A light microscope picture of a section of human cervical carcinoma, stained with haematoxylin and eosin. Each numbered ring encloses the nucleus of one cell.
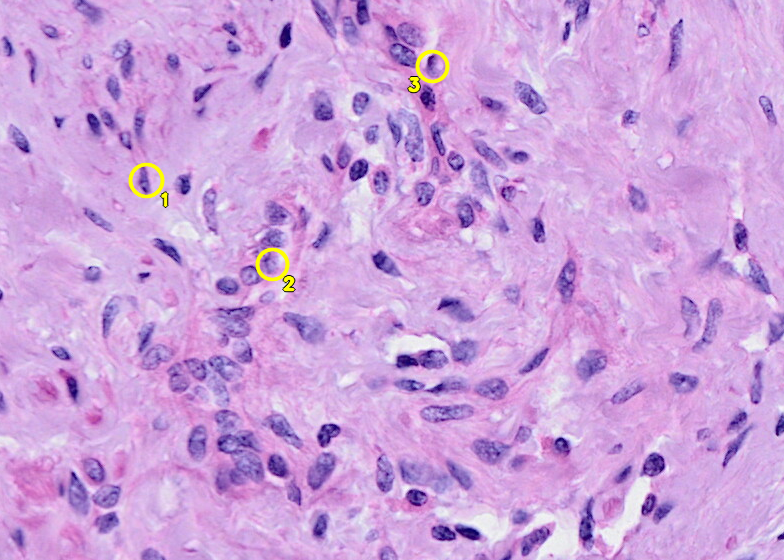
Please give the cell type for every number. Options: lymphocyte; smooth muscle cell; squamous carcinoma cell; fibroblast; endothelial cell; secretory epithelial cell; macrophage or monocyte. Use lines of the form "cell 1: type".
cell 1: smooth muscle cell
cell 2: endothelial cell
cell 3: endothelial cell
